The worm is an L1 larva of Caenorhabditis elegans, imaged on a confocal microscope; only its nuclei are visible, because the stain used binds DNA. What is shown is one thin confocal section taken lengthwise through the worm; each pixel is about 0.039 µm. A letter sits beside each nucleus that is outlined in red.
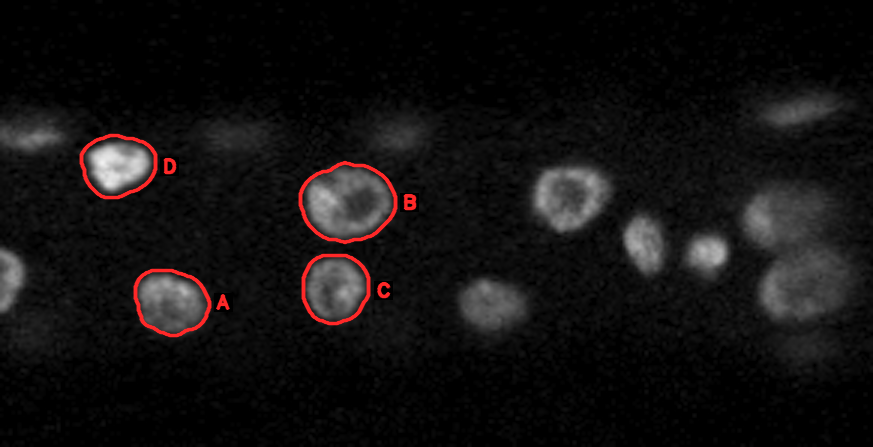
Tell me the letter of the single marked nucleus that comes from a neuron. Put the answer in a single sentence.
Nucleus D belongs to a neuron.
